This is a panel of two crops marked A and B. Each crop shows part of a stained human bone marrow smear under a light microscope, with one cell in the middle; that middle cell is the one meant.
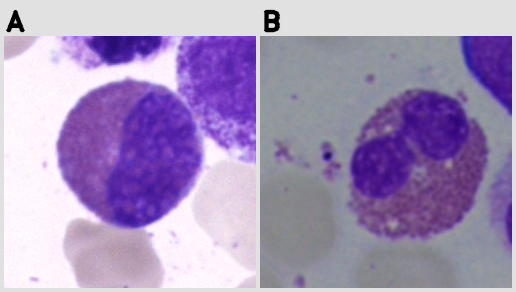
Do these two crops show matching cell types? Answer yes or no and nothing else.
yes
